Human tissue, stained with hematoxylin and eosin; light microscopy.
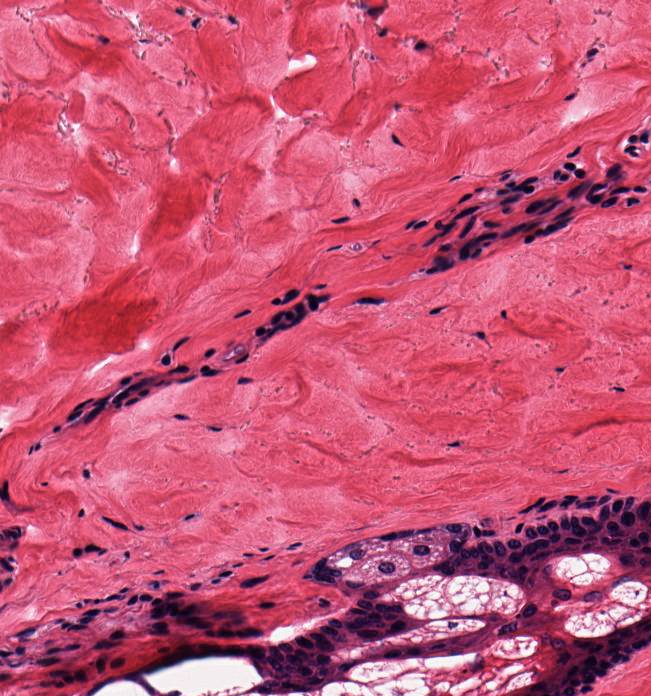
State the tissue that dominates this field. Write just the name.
dermis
